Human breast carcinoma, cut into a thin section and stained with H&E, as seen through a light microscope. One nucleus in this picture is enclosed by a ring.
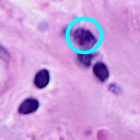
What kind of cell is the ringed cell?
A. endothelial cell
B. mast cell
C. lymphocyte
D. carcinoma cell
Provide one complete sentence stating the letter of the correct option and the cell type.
The correct response is option C: the ringed cell is a lymphocyte.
